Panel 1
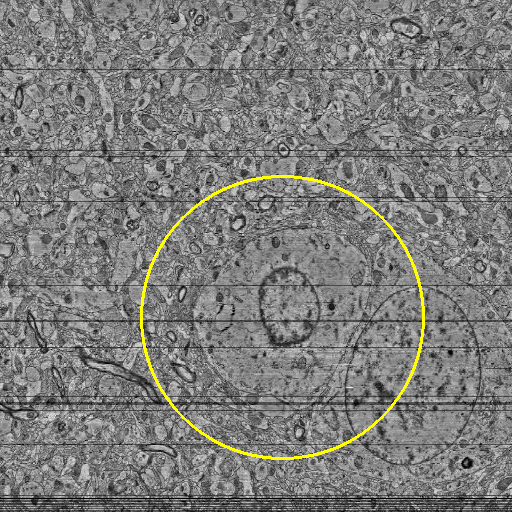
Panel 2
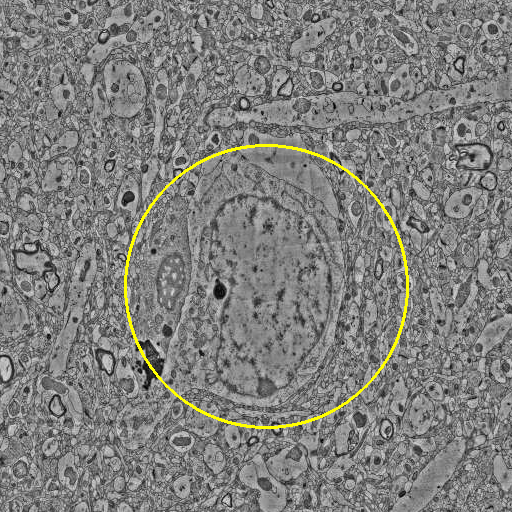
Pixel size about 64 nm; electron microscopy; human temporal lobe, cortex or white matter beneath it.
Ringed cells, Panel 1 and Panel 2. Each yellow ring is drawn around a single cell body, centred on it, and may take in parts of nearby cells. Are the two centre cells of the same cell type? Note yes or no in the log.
no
